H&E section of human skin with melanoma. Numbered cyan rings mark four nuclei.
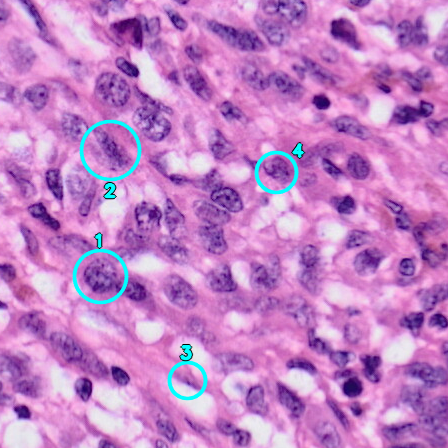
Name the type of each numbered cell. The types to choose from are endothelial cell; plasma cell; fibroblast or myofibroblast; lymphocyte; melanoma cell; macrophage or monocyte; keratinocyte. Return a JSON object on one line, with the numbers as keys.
{"1": "melanoma cell", "2": "melanoma cell", "3": "endothelial cell", "4": "melanoma cell"}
